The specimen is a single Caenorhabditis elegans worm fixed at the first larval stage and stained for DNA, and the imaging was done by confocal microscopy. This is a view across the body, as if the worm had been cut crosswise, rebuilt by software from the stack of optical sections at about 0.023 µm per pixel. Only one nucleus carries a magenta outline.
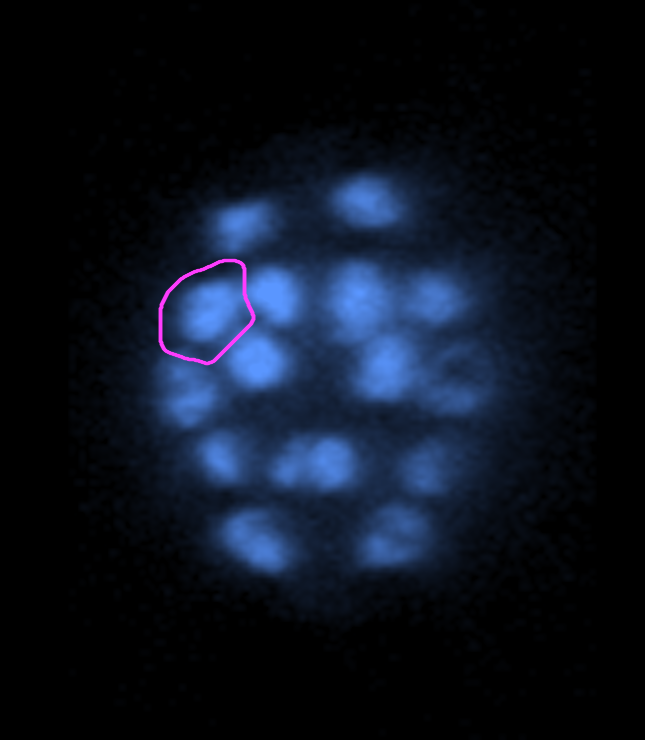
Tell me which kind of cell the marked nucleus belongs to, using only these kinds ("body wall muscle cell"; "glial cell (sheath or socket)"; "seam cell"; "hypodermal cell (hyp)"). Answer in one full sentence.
It is the nucleus of a hypodermal cell (hyp).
